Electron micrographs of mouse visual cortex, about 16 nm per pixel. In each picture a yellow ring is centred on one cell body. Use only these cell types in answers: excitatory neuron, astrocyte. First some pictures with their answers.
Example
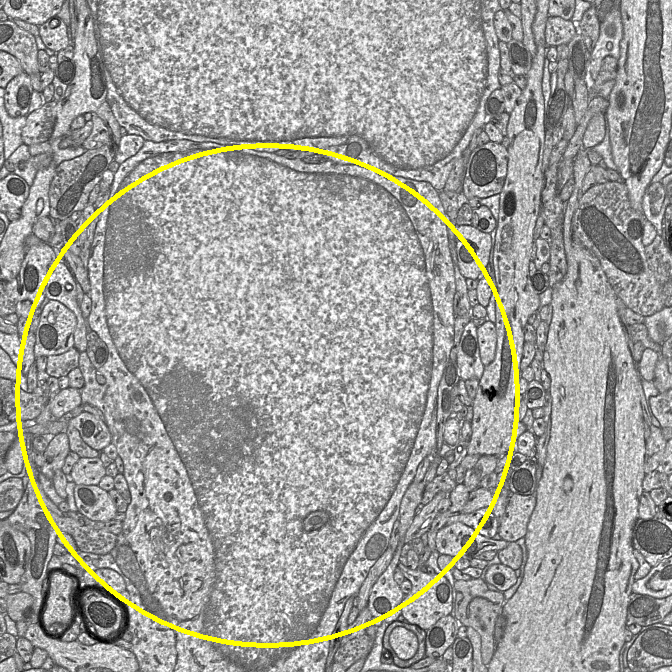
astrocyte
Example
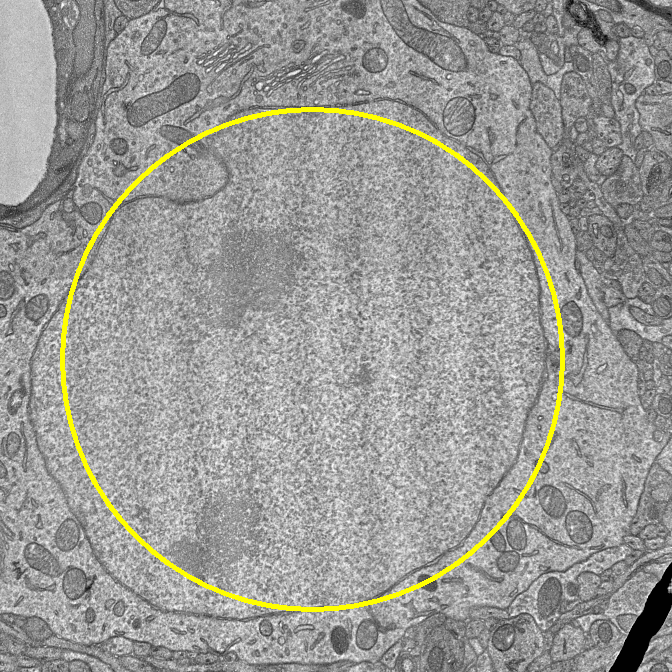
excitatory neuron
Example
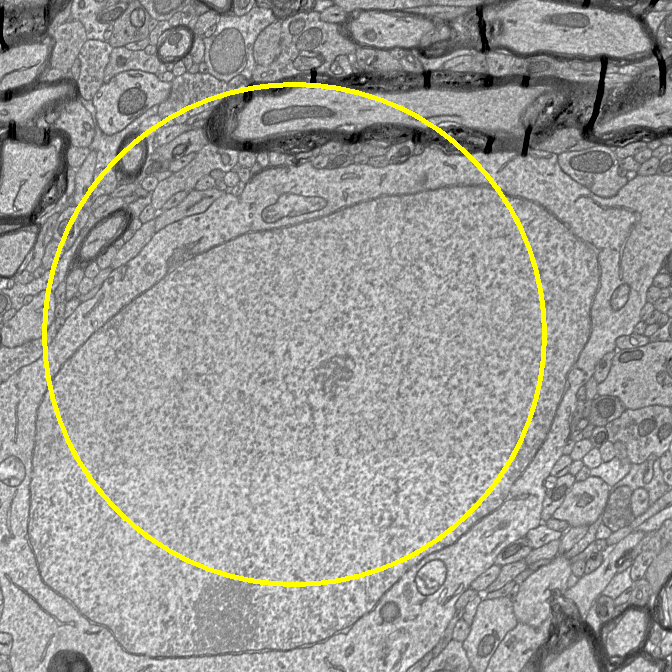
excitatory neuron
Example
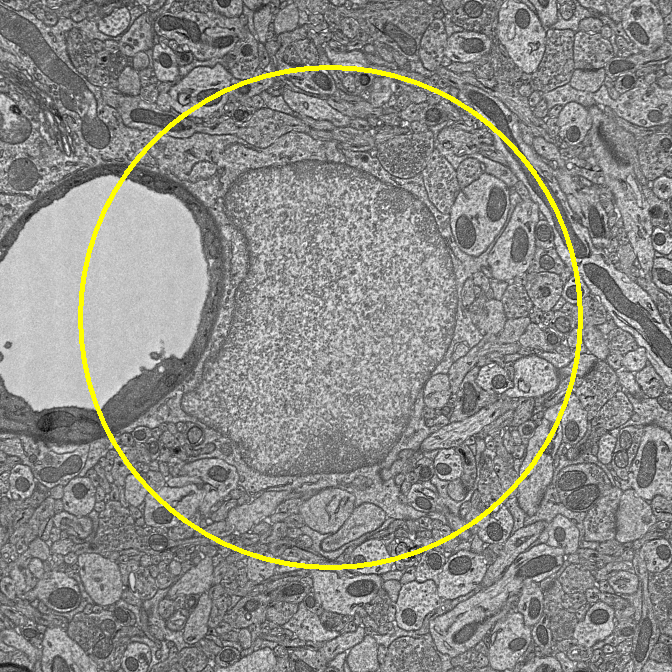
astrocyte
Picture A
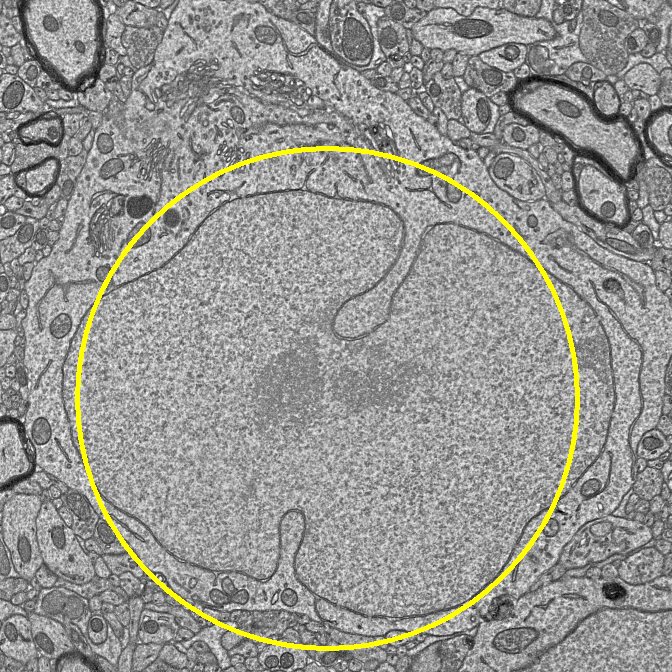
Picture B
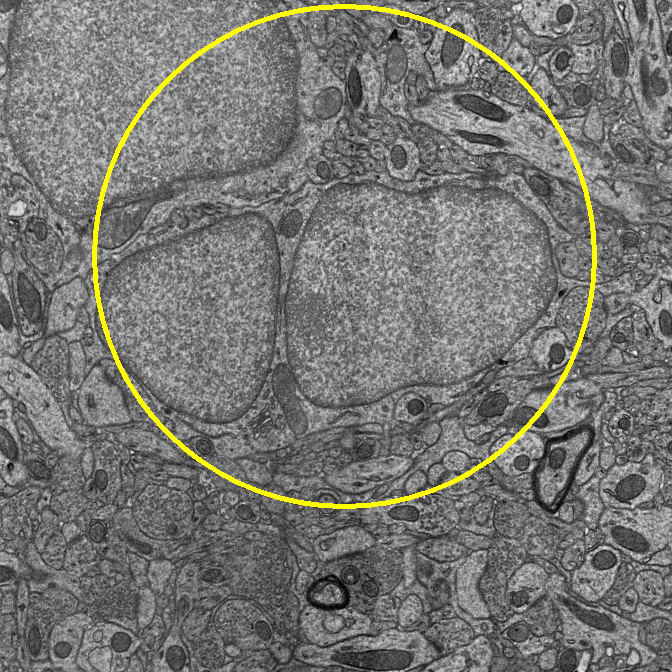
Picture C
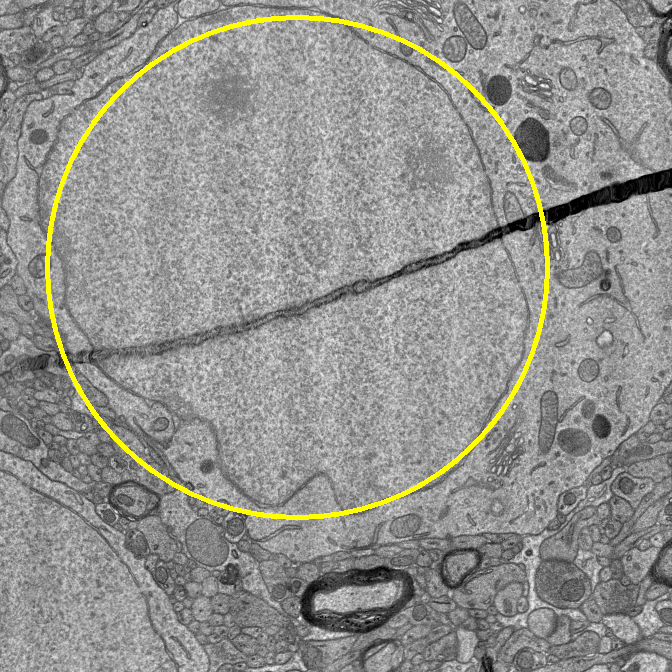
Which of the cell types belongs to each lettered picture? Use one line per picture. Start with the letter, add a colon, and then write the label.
A: excitatory neuron
B: astrocyte
C: excitatory neuron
